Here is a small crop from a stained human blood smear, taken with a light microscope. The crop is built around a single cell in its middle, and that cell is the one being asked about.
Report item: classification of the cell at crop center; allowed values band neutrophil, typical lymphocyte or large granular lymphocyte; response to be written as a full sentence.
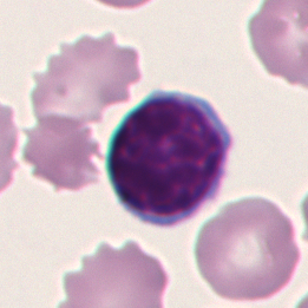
The cell that lies at the centre of the crop is a typical lymphocyte.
